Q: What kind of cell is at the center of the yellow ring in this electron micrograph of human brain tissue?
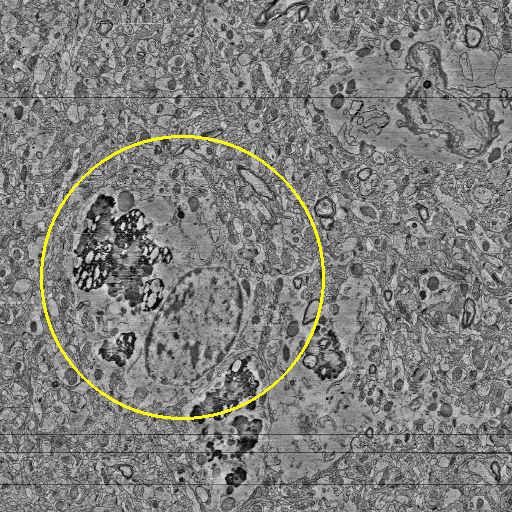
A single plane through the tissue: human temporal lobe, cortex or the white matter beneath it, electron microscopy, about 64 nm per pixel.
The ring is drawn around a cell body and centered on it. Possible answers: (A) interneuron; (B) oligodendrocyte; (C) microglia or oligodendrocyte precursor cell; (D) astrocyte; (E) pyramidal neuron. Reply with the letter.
D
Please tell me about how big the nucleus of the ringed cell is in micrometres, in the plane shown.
In this plane the nucleus is clearly longer than it is wide, at approximately 8 by 5 micrometres.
